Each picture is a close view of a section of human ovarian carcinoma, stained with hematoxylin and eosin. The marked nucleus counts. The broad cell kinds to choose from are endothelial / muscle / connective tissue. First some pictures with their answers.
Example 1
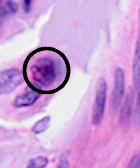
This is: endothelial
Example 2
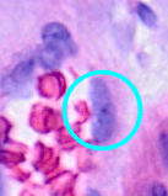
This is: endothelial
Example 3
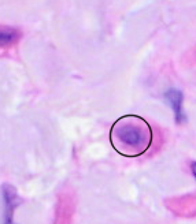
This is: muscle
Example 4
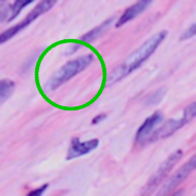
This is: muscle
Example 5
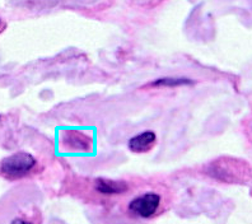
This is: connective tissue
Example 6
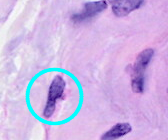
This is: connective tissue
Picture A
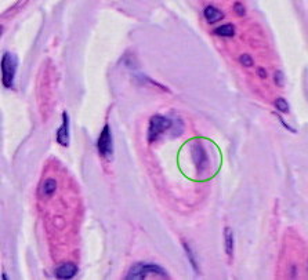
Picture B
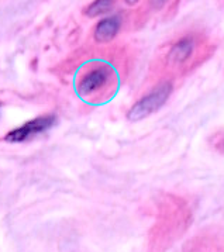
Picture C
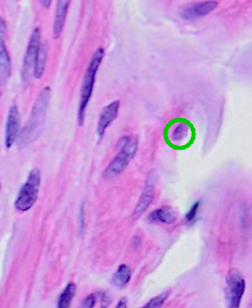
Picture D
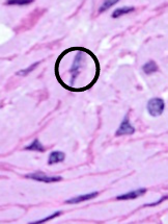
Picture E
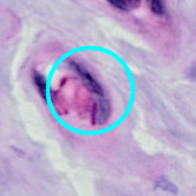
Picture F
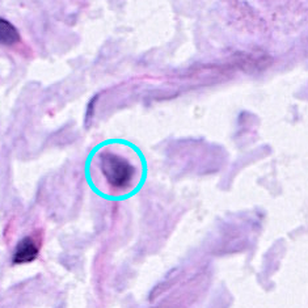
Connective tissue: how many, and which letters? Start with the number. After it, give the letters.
2, namely D, F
